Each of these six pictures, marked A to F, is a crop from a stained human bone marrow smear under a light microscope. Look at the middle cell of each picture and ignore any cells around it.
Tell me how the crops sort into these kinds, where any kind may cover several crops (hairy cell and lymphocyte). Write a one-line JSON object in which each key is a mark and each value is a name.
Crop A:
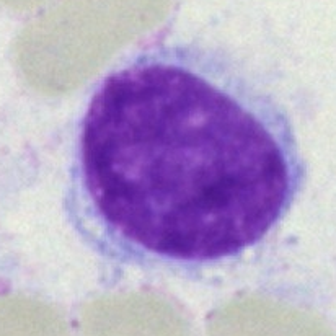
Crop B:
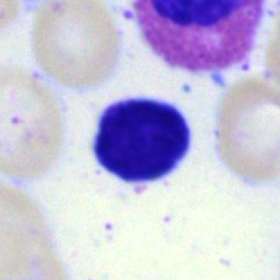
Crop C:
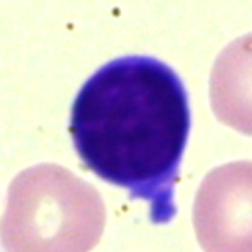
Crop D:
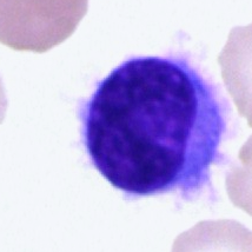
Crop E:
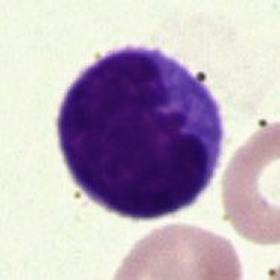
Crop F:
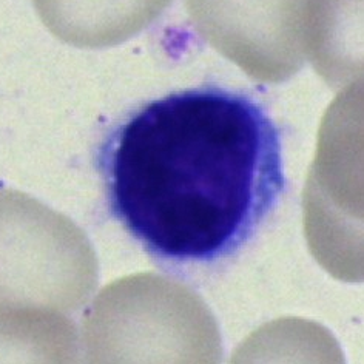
{"A": "hairy cell", "B": "lymphocyte", "C": "lymphocyte", "D": "hairy cell", "E": "lymphocyte", "F": "hairy cell"}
